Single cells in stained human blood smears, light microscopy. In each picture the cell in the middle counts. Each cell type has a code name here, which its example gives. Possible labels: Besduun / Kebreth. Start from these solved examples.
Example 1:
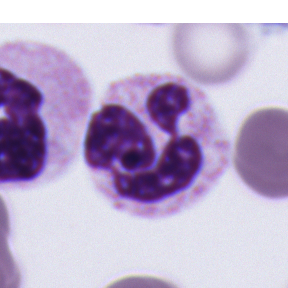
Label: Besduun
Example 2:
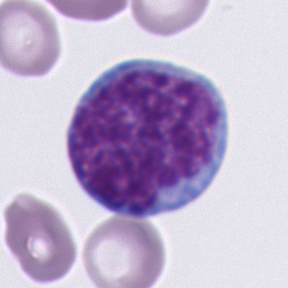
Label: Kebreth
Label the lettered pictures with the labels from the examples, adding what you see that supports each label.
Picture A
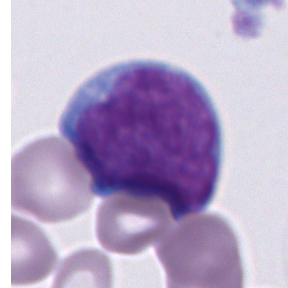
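Label: Kebreth. The scant cytoplasm is widest as a crescent at the upper left.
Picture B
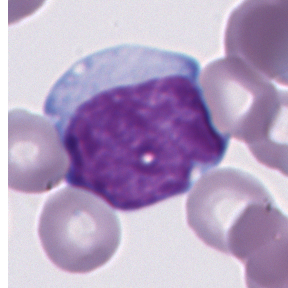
Label: Kebreth. The nucleus fills most of the cell.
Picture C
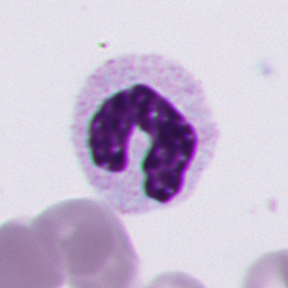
Label: Besduun. The nucleus is a curved horseshoe-shaped band whose opening faces downward.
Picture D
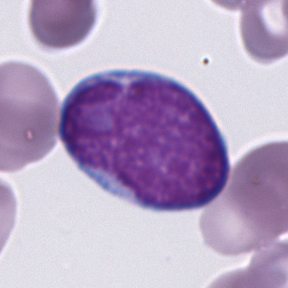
Label: Kebreth. The blue cytoplasm forms a thin rim that is widest at the lower left.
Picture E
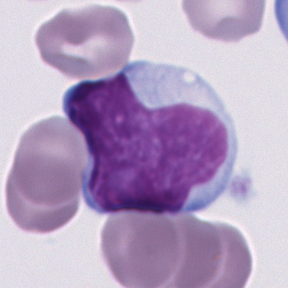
Label: Kebreth. The nucleus fills most of the cell.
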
